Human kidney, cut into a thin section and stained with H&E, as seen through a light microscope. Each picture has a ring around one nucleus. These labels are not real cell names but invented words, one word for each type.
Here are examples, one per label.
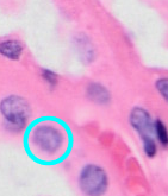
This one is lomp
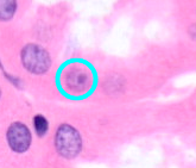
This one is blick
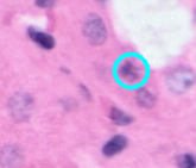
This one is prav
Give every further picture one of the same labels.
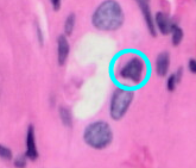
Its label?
lomp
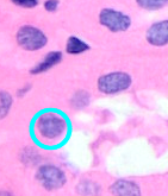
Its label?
prav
